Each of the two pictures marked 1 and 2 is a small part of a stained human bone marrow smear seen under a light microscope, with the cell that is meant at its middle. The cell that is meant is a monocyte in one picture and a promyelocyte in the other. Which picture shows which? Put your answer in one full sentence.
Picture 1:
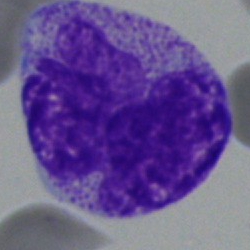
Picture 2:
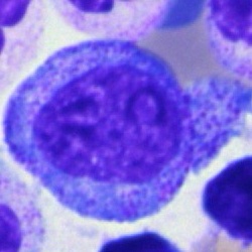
Picture 1 is of a monocyte, and picture 2 is of a promyelocyte.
